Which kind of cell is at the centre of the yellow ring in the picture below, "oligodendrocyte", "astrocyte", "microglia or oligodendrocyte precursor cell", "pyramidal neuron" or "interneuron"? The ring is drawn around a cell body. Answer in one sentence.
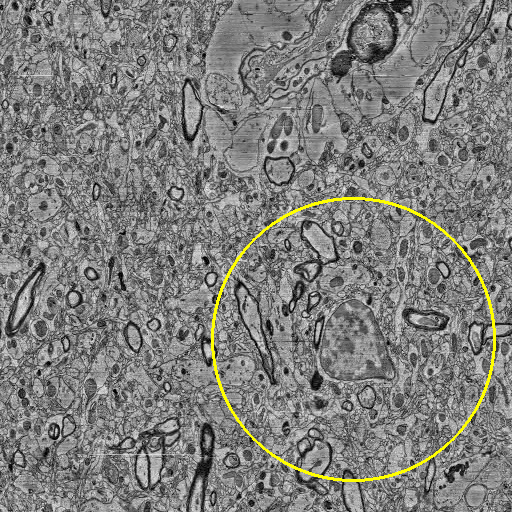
The ring's central cell is a microglial cell or oligodendrocyte precursor cell.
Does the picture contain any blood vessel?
Yes, one appears.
